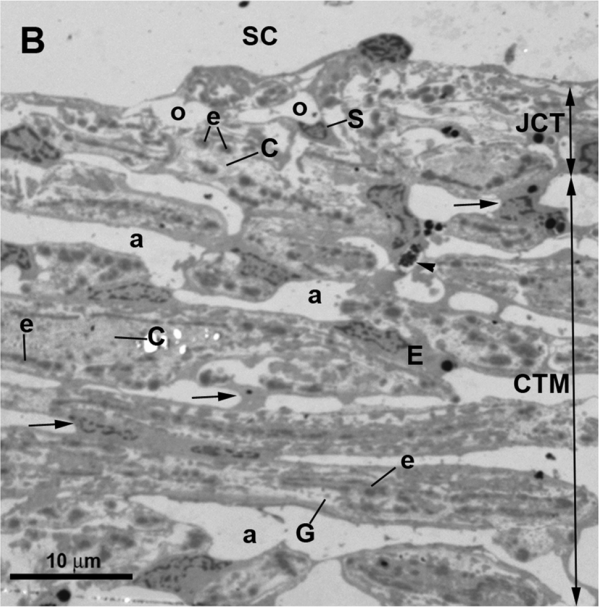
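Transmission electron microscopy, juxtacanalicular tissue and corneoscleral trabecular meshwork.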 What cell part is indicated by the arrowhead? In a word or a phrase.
pigmented granules phagocyted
